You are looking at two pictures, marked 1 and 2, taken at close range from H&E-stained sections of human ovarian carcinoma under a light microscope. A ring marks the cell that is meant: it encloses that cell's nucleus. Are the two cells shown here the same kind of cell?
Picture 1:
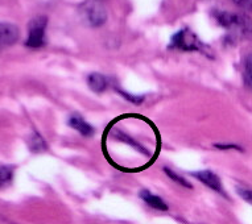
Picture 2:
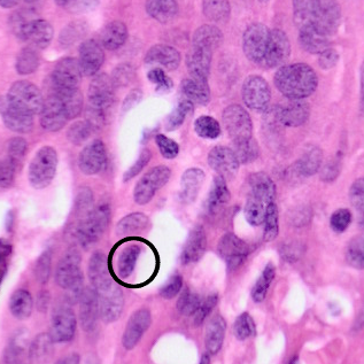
no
